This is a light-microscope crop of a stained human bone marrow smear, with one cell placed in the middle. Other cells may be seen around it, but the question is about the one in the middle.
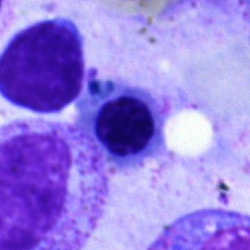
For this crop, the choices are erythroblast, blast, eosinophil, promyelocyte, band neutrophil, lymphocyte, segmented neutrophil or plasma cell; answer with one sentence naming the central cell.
The middle position in this crop is taken by an erythroblast.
